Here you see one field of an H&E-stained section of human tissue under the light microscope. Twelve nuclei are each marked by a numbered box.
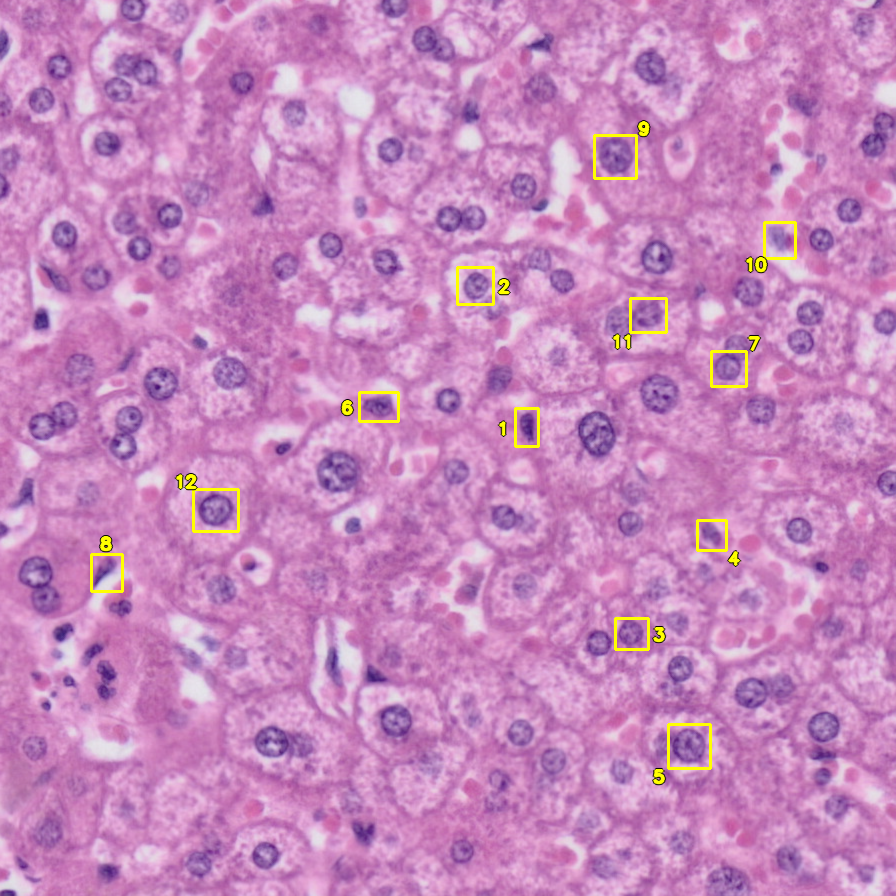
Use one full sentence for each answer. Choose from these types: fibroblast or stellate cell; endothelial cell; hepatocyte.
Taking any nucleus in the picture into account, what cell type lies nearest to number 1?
Number 1 lies closest to the nucleus of an endothelial cell.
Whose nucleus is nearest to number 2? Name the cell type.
It is a hepatocyte whose nucleus is nearest to number 2.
